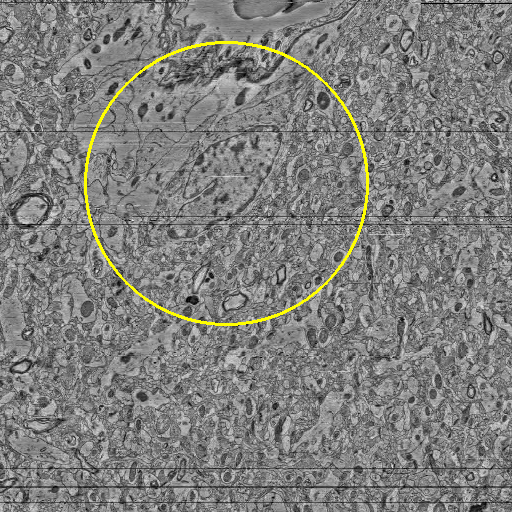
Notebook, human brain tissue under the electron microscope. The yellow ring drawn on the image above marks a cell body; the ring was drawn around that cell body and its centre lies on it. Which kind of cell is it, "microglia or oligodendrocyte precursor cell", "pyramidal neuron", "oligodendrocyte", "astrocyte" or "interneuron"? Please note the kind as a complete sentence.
The marked cell body is that of a microglial cell or oligodendrocyte precursor cell.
